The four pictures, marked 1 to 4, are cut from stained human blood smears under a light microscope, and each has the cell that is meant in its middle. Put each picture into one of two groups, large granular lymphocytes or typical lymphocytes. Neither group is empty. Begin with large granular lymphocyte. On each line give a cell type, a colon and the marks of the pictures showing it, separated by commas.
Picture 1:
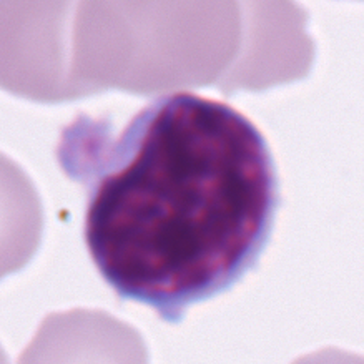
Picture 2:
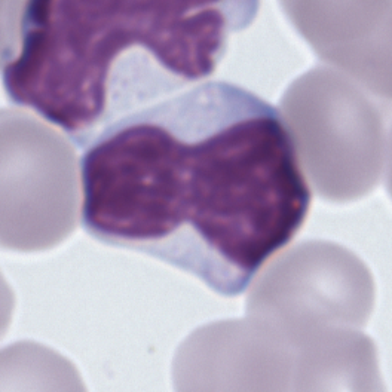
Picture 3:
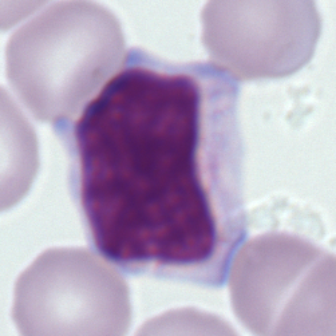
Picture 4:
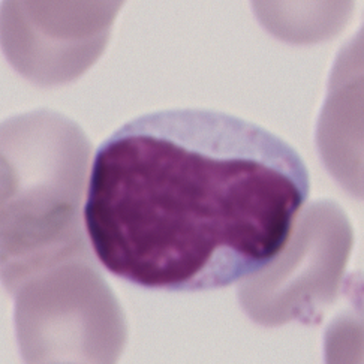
large granular lymphocyte: 2, 4
typical lymphocyte: 1, 3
